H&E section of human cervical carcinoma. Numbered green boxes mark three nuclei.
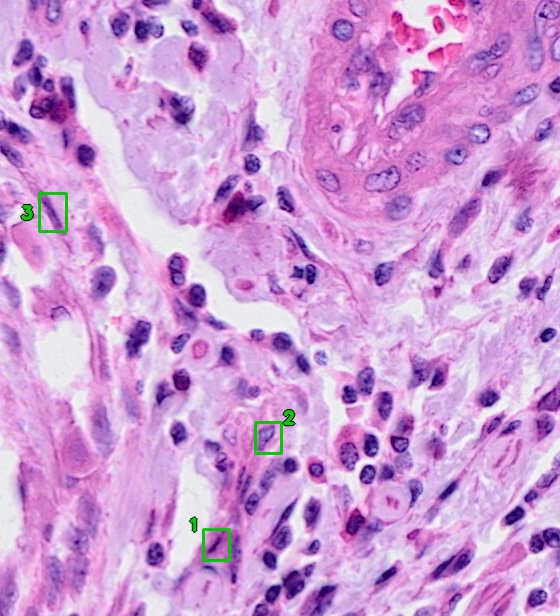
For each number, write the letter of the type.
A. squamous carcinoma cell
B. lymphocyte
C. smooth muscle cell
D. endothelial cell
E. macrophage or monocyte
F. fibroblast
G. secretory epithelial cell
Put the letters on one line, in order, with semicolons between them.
D; D; F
